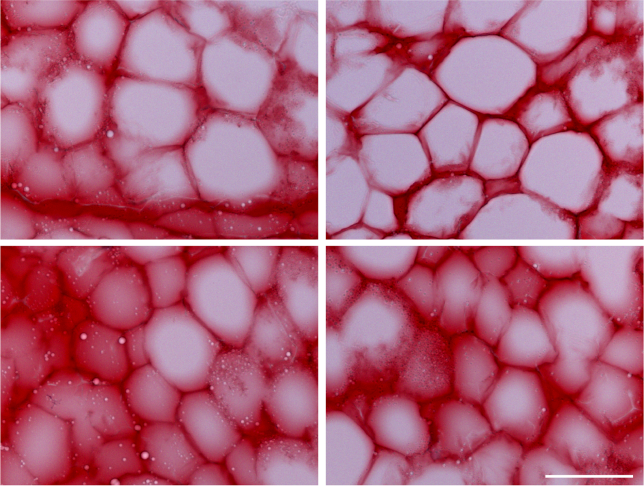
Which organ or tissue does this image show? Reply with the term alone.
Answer: Adipose.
